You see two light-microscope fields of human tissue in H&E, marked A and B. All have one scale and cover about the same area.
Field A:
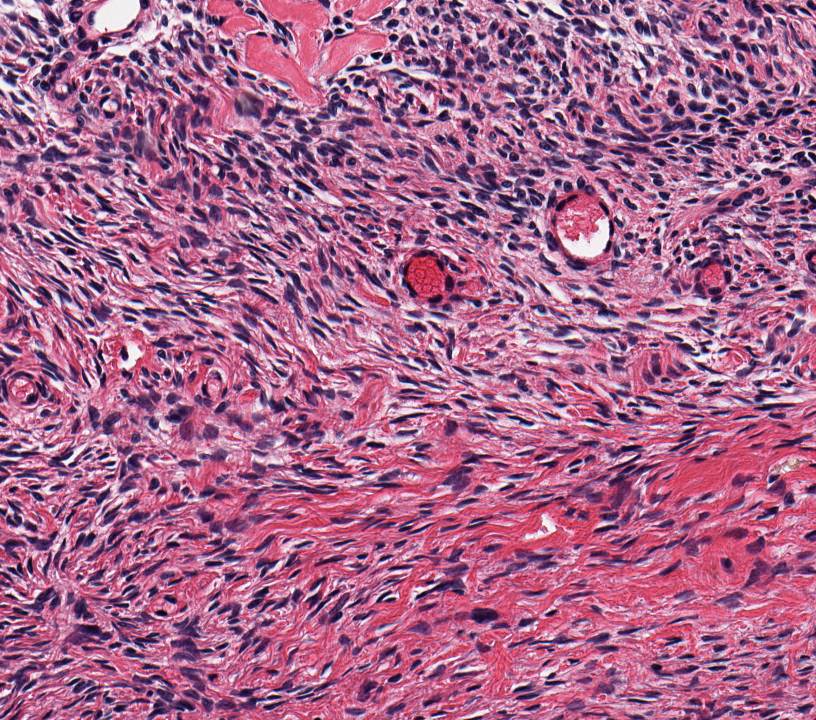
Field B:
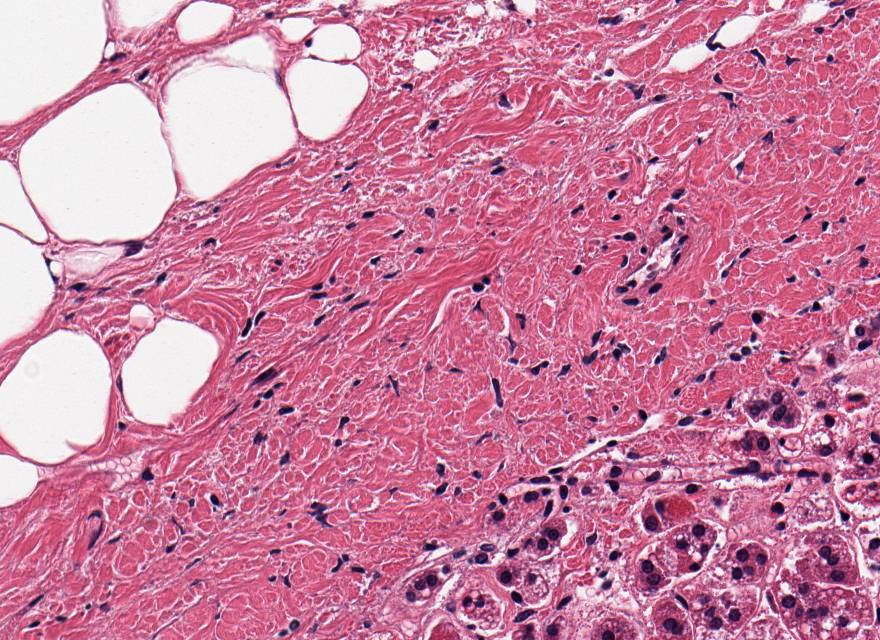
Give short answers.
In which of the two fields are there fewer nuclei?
B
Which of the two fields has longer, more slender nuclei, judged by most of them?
A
